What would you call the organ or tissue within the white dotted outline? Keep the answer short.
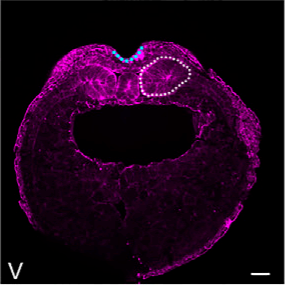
Somitic mesoderm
